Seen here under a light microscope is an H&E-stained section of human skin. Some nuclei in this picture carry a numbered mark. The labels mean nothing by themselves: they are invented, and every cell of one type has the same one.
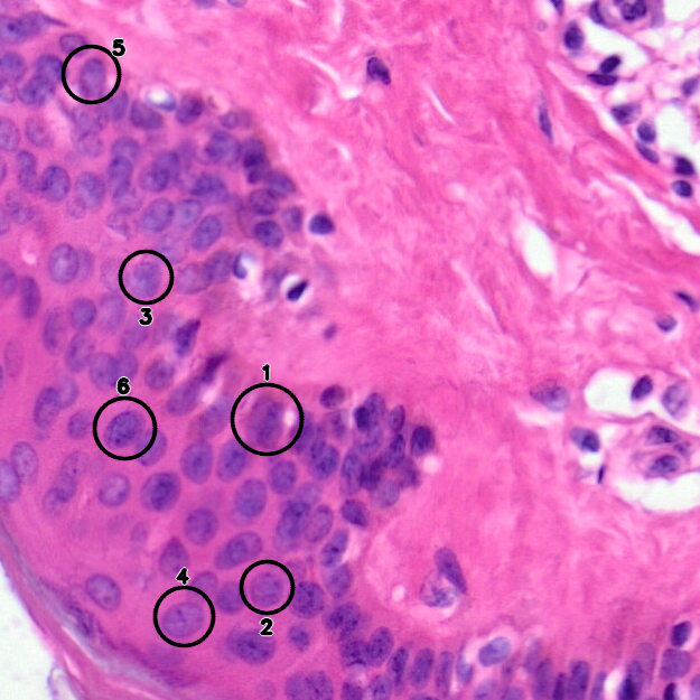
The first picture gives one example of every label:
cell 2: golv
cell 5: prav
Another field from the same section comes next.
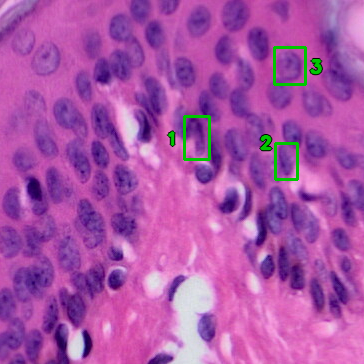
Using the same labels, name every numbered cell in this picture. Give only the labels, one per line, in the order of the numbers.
prav
prav
golv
